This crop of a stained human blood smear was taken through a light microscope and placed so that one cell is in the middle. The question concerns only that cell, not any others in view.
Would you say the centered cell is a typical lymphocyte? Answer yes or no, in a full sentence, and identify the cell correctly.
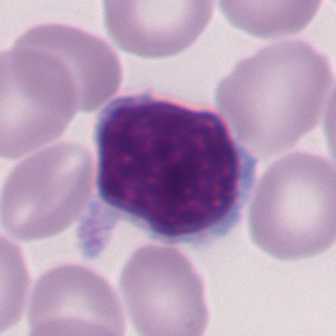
Yes, the cell in the middle is rightly called a typical lymphocyte.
